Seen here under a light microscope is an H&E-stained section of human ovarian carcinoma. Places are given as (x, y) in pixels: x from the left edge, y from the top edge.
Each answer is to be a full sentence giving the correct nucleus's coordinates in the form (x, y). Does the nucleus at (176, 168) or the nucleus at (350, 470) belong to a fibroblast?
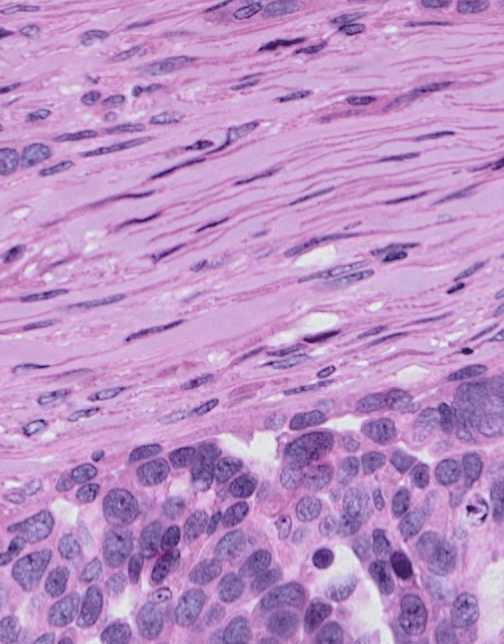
Belonging to a fibroblast is the nucleus at (176, 168).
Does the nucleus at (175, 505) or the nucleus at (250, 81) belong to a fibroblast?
The nucleus whose position is (250, 81) belongs to a fibroblast.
